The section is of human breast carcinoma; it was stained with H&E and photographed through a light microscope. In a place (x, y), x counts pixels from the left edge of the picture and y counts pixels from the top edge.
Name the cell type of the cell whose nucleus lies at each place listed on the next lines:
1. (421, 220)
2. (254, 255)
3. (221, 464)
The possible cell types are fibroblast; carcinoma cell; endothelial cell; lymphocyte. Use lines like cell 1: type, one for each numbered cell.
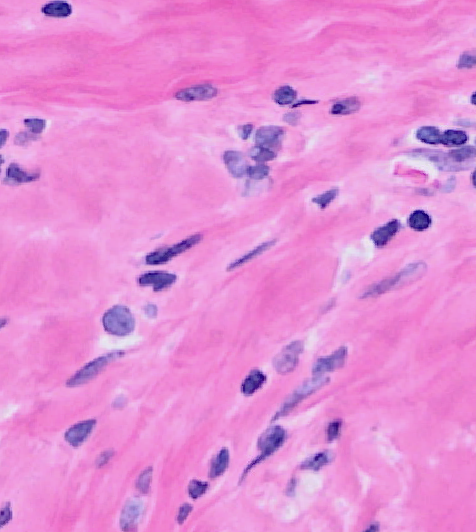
cell 1: lymphocyte
cell 2: fibroblast
cell 3: lymphocyte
